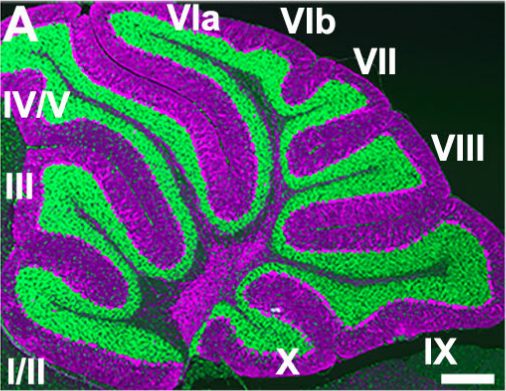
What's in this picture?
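This is a mid-sagittal section of the cerebellum, folded into numbered lobules that fan out around a central core. Each folium has a dense green core of granule cells, and a thin bright magenta line of Purkinje cells lines the outer border of that green core. Beyond this line lies a broad magenta layer that reaches the surface of each folium.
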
